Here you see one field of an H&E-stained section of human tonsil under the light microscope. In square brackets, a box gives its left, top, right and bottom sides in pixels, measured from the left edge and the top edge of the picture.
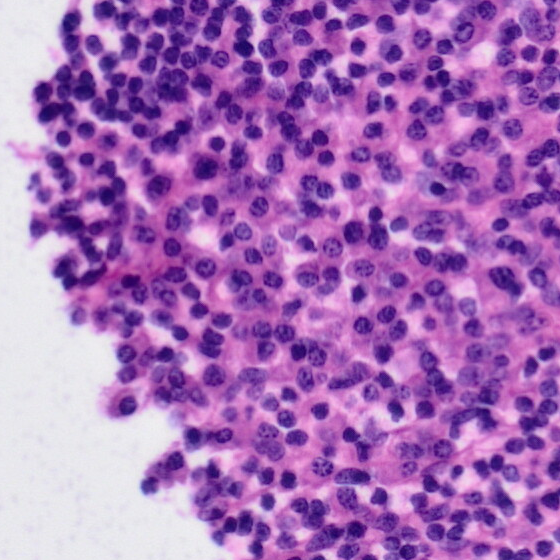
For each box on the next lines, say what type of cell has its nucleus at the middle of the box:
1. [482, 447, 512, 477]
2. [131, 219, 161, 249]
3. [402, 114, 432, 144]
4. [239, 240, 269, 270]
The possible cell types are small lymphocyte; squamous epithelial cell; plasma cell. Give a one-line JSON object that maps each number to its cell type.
{"1": "small lymphocyte", "2": "plasma cell", "3": "plasma cell", "4": "plasma cell"}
